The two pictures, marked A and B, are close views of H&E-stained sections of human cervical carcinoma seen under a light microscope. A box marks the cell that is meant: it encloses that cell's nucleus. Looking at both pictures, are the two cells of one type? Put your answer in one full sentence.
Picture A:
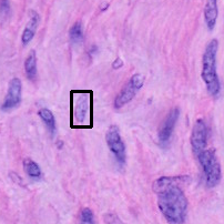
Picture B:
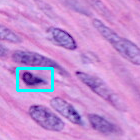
Yes, both are smooth muscle cells.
